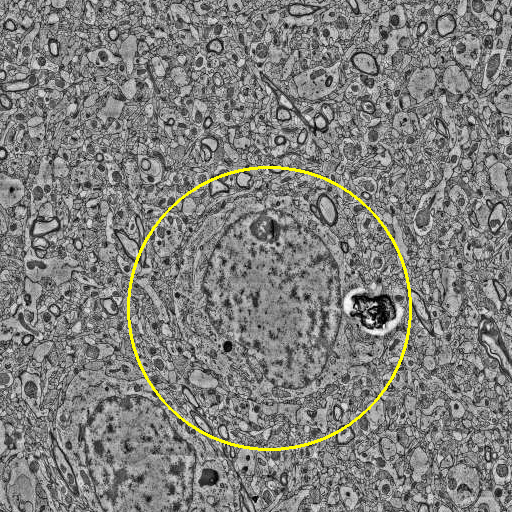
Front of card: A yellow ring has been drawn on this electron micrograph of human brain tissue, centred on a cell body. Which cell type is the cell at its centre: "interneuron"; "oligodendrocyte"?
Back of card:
interneuron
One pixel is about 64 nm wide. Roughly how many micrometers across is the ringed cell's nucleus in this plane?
Approximately 12 micrometres long and 9 micrometres wide, in this plane.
